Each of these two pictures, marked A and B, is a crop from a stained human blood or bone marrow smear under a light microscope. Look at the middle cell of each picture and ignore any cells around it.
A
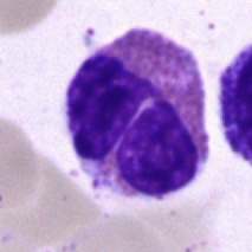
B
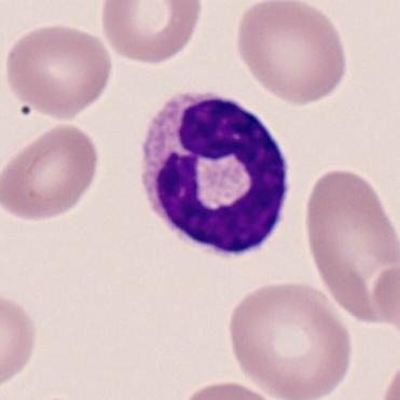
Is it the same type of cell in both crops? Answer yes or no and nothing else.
no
